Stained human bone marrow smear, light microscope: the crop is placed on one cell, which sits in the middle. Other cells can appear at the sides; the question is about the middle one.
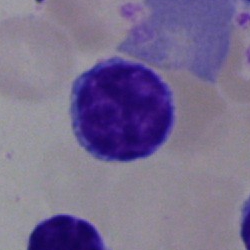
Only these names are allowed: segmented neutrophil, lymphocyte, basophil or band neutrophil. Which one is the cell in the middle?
lymphocyte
